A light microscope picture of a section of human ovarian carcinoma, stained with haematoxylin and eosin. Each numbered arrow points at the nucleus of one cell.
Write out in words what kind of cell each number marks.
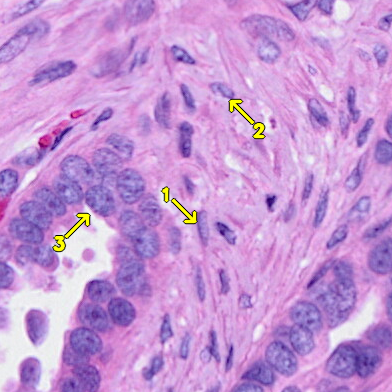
Cells 1 and 2 are fibroblasts. Cell 3 is a carcinoma cell.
